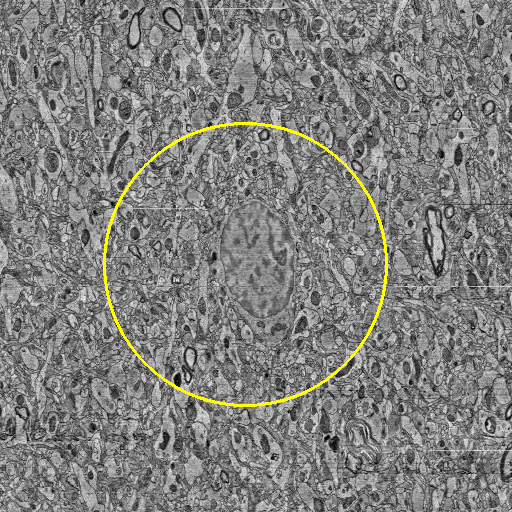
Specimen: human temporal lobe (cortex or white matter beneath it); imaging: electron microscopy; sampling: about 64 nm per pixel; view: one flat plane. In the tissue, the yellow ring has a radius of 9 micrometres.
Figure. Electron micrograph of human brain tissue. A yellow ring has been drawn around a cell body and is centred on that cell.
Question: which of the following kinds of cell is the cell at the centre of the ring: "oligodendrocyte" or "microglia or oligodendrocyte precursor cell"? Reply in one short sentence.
The cell at the centre of the ring is an oligodendrocyte.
